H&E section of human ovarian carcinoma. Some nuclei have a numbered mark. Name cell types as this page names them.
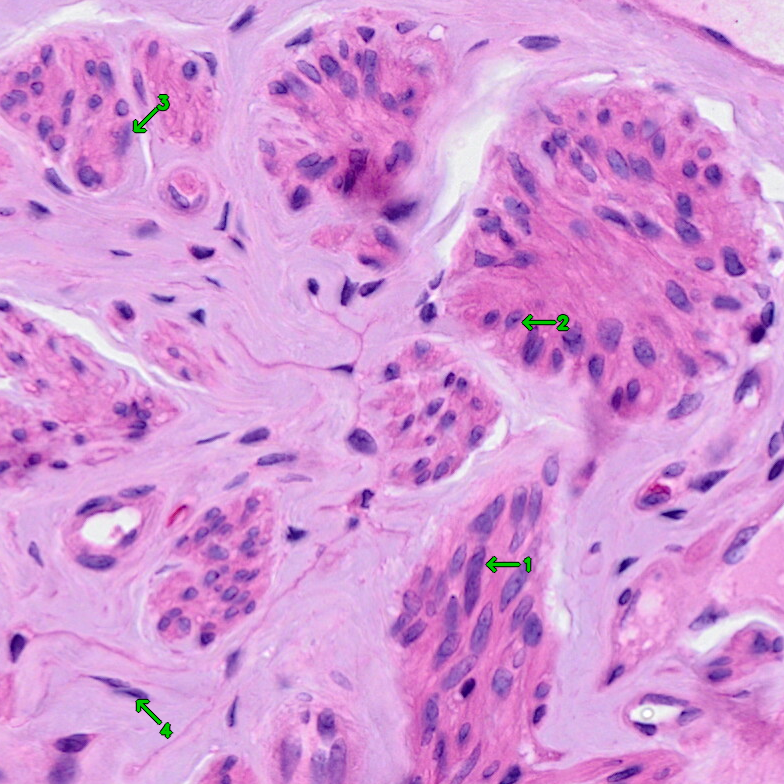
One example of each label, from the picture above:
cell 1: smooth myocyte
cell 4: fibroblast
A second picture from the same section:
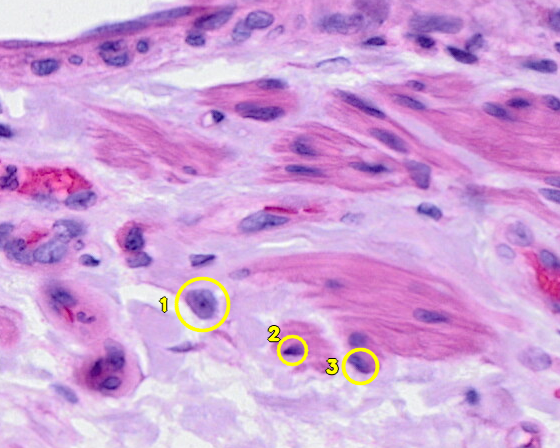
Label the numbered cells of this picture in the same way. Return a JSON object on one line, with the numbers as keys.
{"1": "fibroblast", "2": "smooth myocyte", "3": "smooth myocyte"}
